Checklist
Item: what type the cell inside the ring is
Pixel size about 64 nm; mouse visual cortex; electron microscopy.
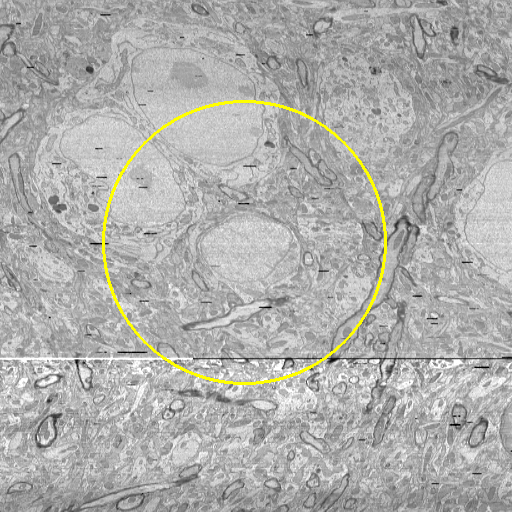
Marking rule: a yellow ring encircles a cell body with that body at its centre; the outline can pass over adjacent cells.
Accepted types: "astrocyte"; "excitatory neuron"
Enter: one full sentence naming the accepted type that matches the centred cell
The entry is that an astrocyte lies at the centre of the yellow ring.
